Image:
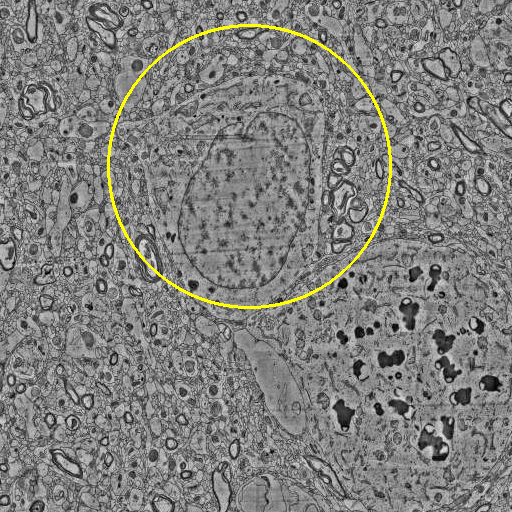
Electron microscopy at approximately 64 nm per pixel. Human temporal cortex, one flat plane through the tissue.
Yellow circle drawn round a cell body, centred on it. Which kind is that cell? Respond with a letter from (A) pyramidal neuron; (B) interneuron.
A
